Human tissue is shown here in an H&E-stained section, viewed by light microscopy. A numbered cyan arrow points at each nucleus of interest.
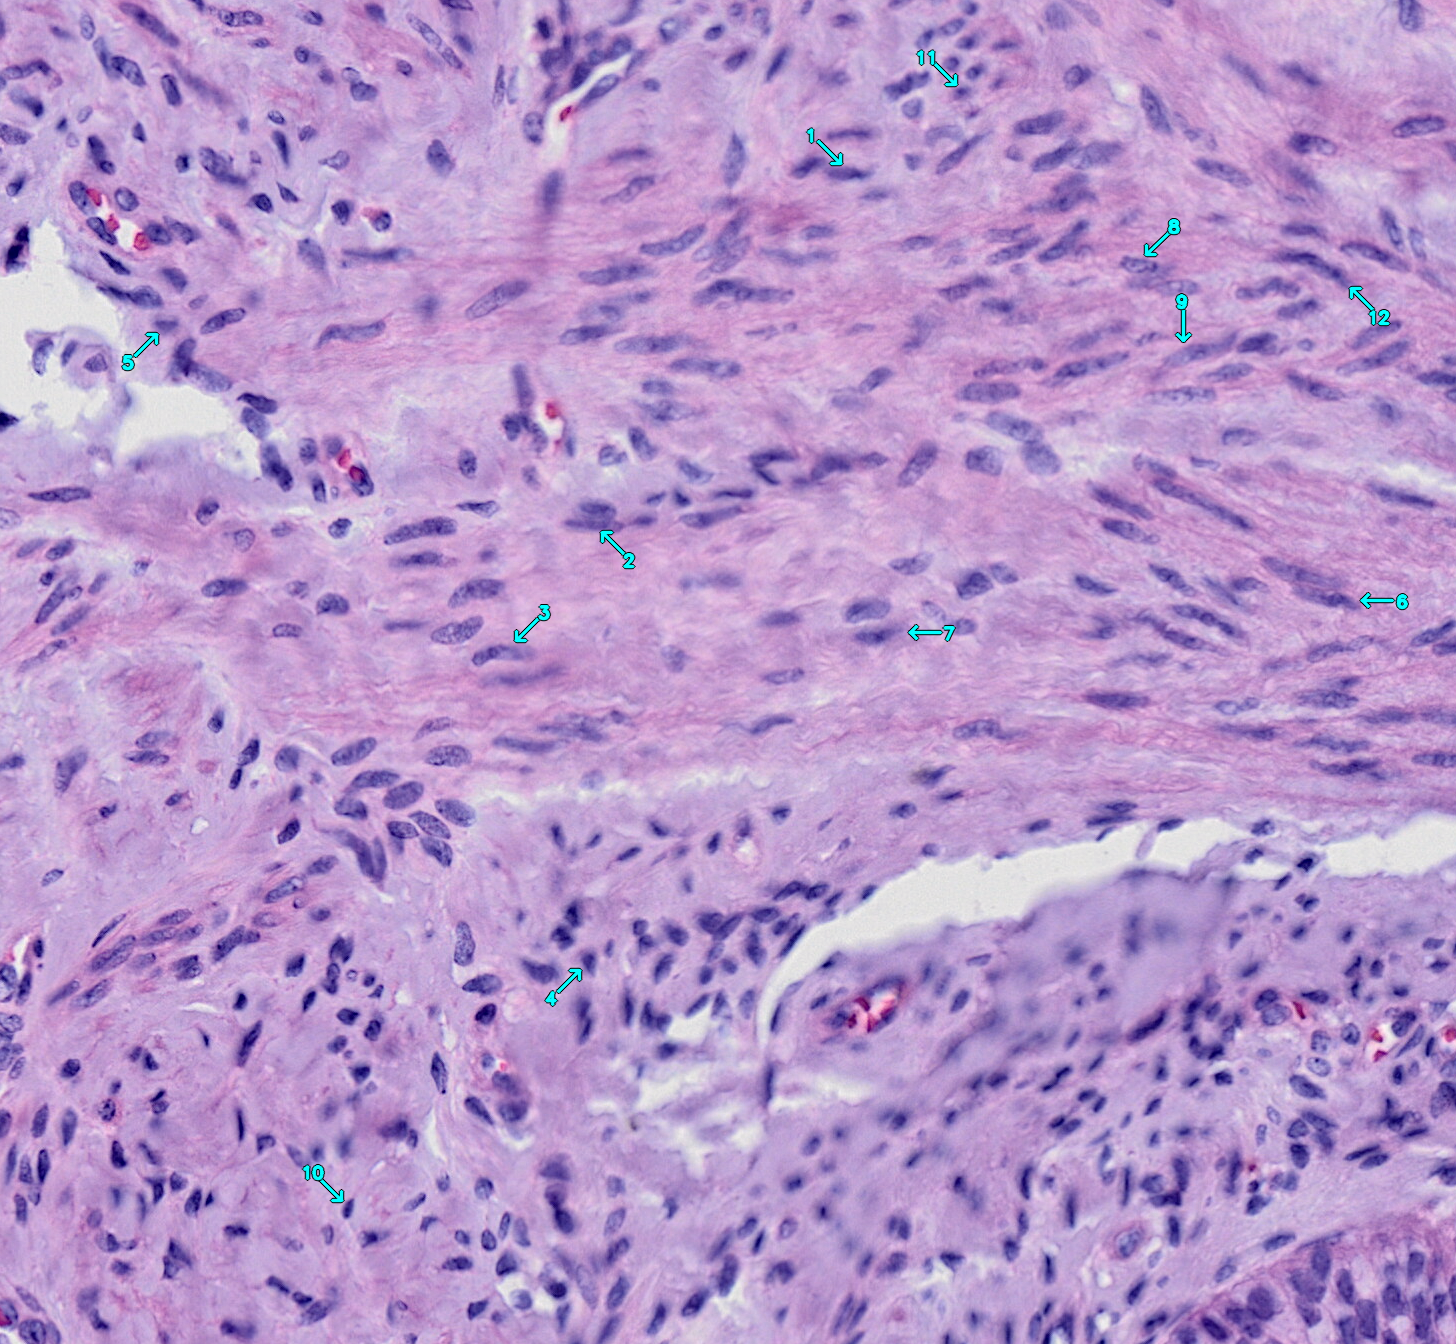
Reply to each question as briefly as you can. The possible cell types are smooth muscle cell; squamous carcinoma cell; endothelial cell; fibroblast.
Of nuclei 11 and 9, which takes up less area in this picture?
11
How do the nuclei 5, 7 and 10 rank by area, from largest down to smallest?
7, 5, 10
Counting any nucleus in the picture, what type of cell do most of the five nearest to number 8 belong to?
smooth muscle cell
